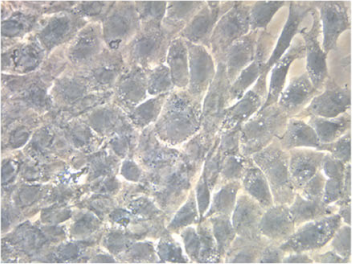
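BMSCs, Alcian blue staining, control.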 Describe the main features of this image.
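This is a confluent layer of flattened cultured cells, elongated to polygonal in outline, lying side by side. Their nuclei are pale and barely set off from the cytoplasm, with hardly any blue colour, while bright halos trace the cell edges.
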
